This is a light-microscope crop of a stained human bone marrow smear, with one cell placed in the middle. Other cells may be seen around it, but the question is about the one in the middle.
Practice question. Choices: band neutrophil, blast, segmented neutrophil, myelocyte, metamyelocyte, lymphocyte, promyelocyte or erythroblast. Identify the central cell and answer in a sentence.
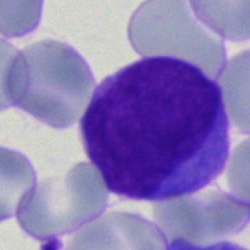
The middle of this crop is occupied by a blast.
